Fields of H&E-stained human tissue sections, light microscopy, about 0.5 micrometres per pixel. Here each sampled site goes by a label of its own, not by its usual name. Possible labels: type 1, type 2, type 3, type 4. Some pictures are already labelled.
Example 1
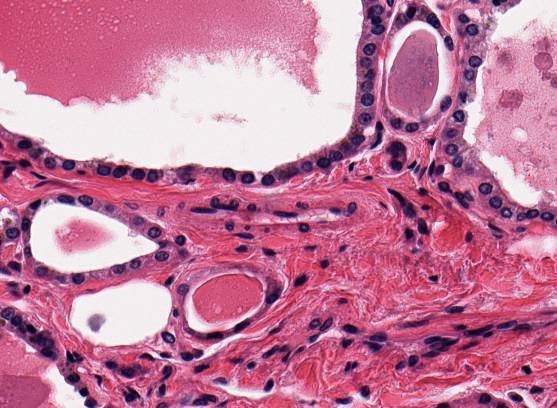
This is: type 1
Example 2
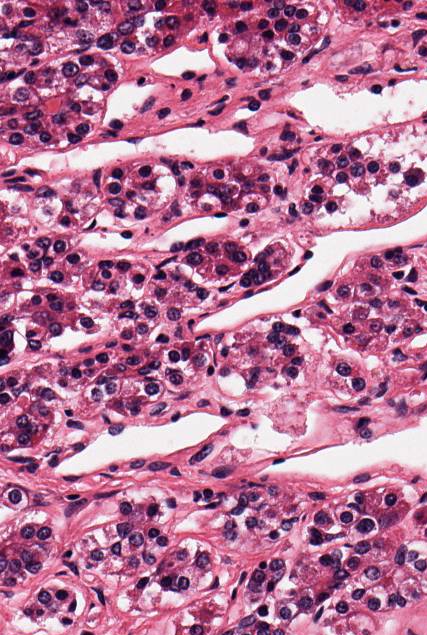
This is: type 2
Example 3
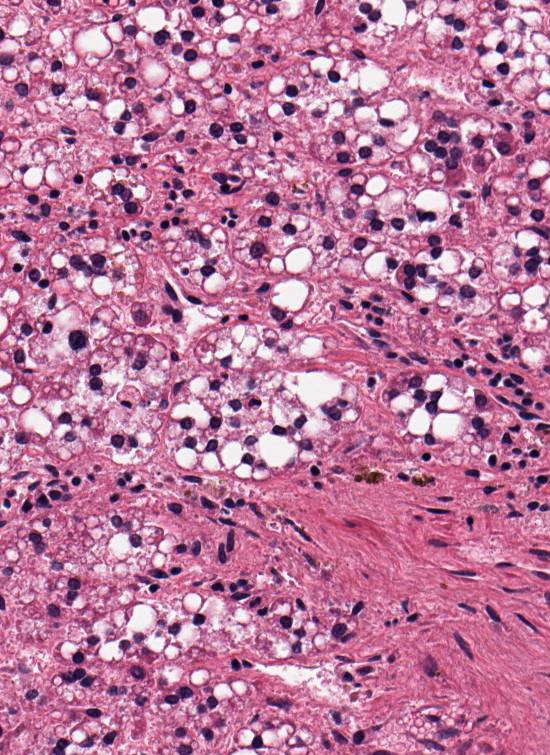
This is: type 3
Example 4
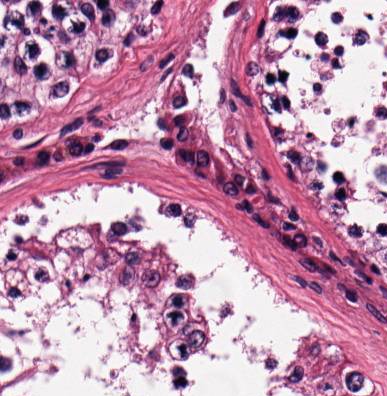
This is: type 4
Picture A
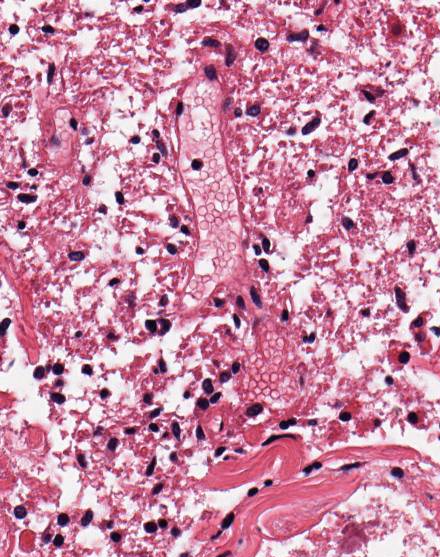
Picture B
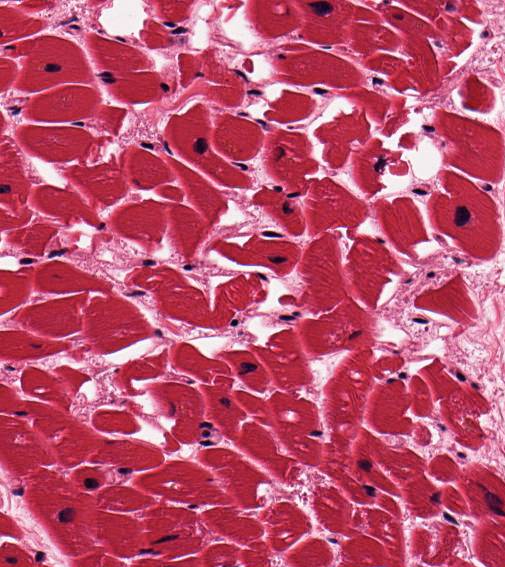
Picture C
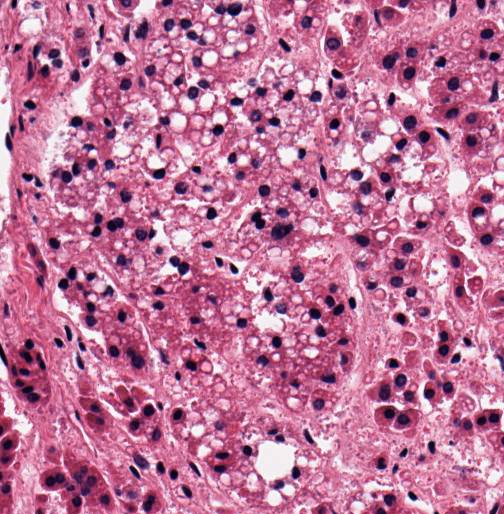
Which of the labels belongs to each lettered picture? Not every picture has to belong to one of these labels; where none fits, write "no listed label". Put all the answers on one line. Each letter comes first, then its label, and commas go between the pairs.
A type 2, B no listed label, C type 3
